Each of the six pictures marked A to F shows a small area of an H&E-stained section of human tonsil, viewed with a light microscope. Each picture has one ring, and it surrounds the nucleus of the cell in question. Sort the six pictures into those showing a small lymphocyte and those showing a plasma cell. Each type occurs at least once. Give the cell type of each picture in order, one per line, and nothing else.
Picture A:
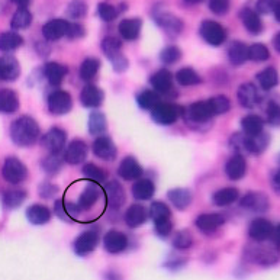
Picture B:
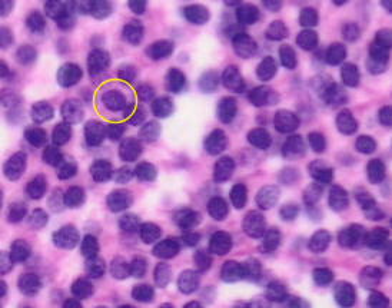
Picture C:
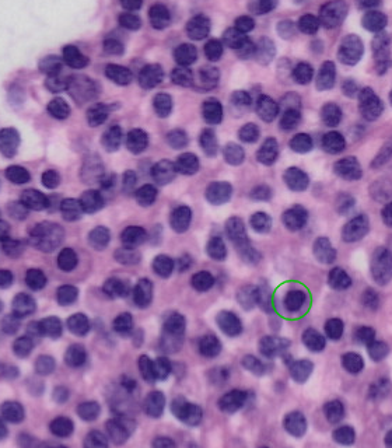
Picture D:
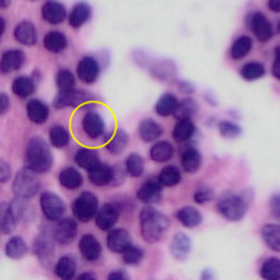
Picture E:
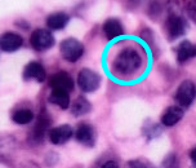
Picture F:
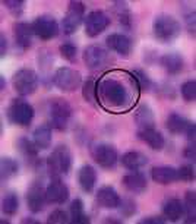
small lymphocyte
small lymphocyte
plasma cell
small lymphocyte
plasma cell
small lymphocyte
